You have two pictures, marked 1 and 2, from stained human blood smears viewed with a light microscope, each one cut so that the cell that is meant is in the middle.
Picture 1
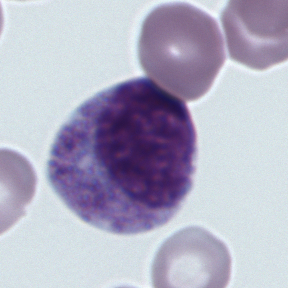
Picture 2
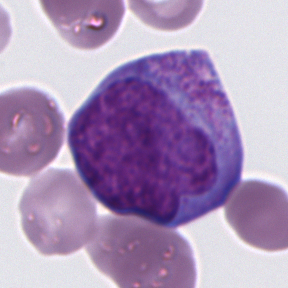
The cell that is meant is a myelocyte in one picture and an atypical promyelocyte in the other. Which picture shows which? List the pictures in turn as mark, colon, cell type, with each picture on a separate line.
1: myelocyte
2: atypical promyelocyte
